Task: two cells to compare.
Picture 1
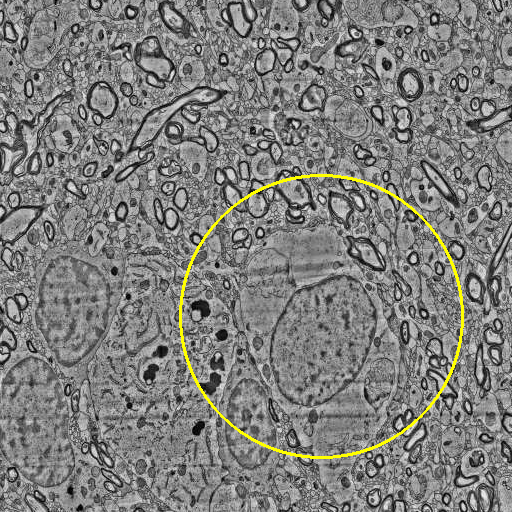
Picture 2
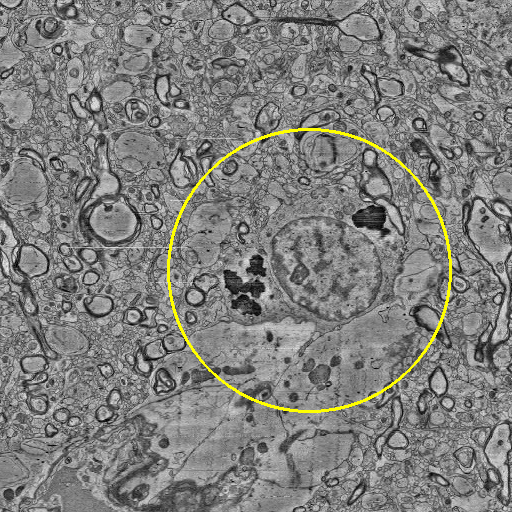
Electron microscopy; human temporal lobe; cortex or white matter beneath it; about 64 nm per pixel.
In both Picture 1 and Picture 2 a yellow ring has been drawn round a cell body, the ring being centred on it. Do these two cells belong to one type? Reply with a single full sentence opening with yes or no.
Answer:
No, the two cells at the ring centres in Picture 1 and Picture 2 are of two types.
